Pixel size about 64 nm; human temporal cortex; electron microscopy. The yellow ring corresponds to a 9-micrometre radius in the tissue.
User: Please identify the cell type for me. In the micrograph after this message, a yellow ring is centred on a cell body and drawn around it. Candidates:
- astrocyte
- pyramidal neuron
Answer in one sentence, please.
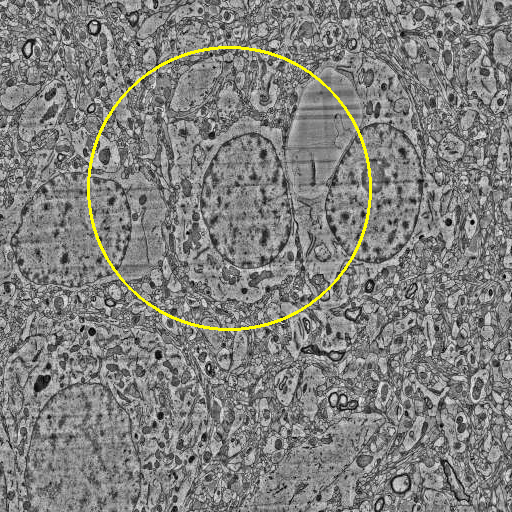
The ring is drawn around the cell body of an astrocyte.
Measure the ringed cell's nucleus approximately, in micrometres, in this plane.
Approximately 8 x 6 micrometres in this plane.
